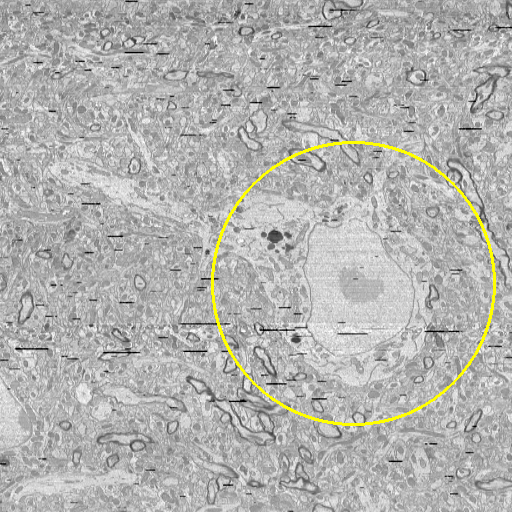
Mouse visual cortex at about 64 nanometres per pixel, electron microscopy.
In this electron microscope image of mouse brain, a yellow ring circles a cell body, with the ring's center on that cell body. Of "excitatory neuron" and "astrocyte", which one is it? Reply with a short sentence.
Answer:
It is an excitatory neuron at the center of the ring.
